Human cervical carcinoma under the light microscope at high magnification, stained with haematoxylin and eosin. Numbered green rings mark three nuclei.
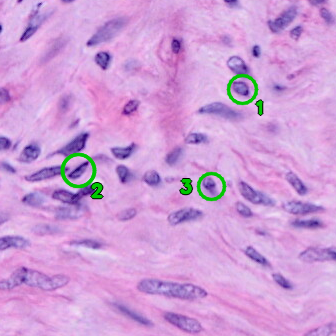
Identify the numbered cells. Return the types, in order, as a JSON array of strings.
["smooth muscle cell", "fibroblast", "smooth muscle cell"]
